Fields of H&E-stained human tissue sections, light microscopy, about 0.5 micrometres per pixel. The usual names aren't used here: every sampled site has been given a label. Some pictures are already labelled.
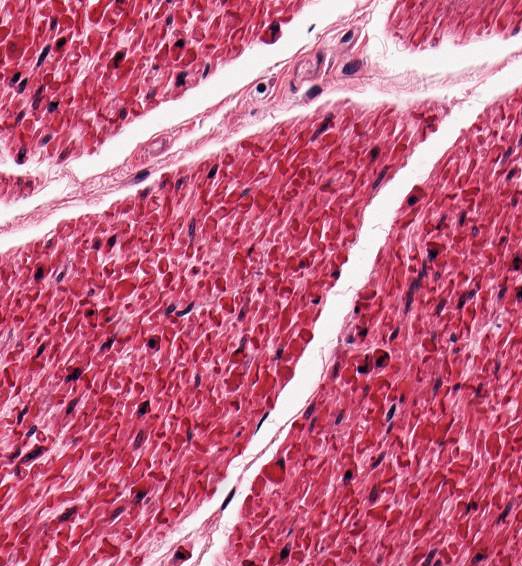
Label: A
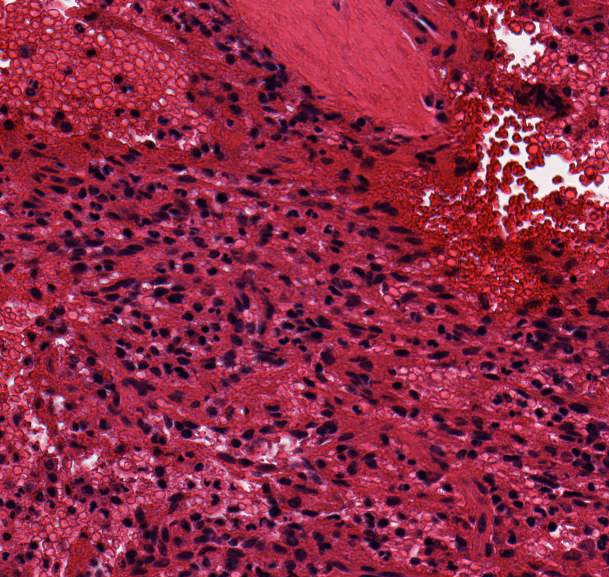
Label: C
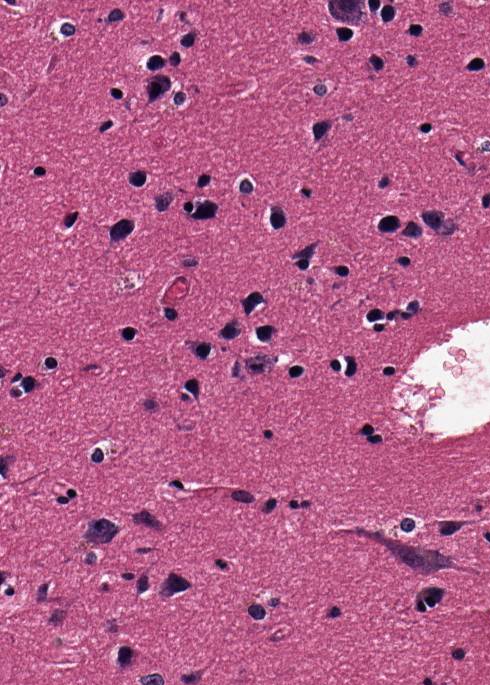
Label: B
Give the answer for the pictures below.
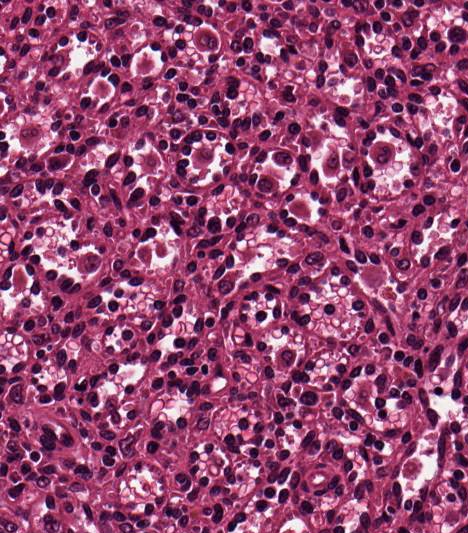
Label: C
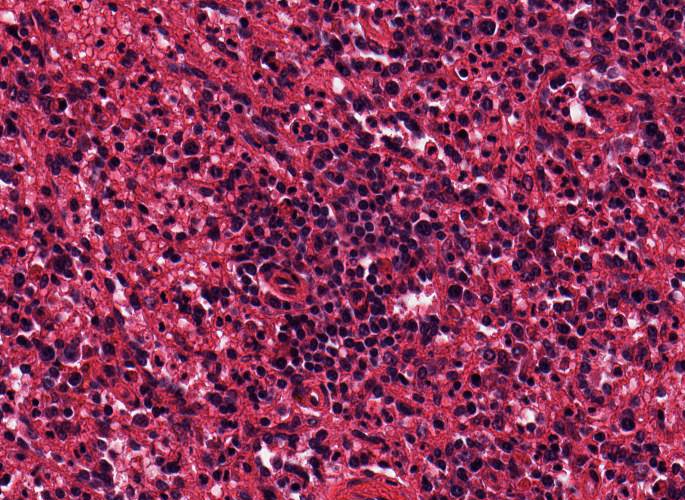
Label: C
